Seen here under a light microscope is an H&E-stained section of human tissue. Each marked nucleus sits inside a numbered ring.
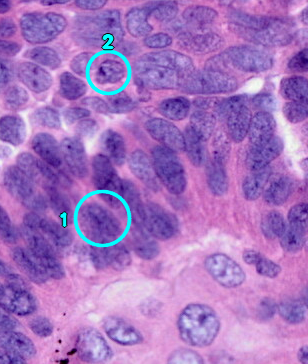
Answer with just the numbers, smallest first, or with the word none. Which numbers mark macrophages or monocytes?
2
